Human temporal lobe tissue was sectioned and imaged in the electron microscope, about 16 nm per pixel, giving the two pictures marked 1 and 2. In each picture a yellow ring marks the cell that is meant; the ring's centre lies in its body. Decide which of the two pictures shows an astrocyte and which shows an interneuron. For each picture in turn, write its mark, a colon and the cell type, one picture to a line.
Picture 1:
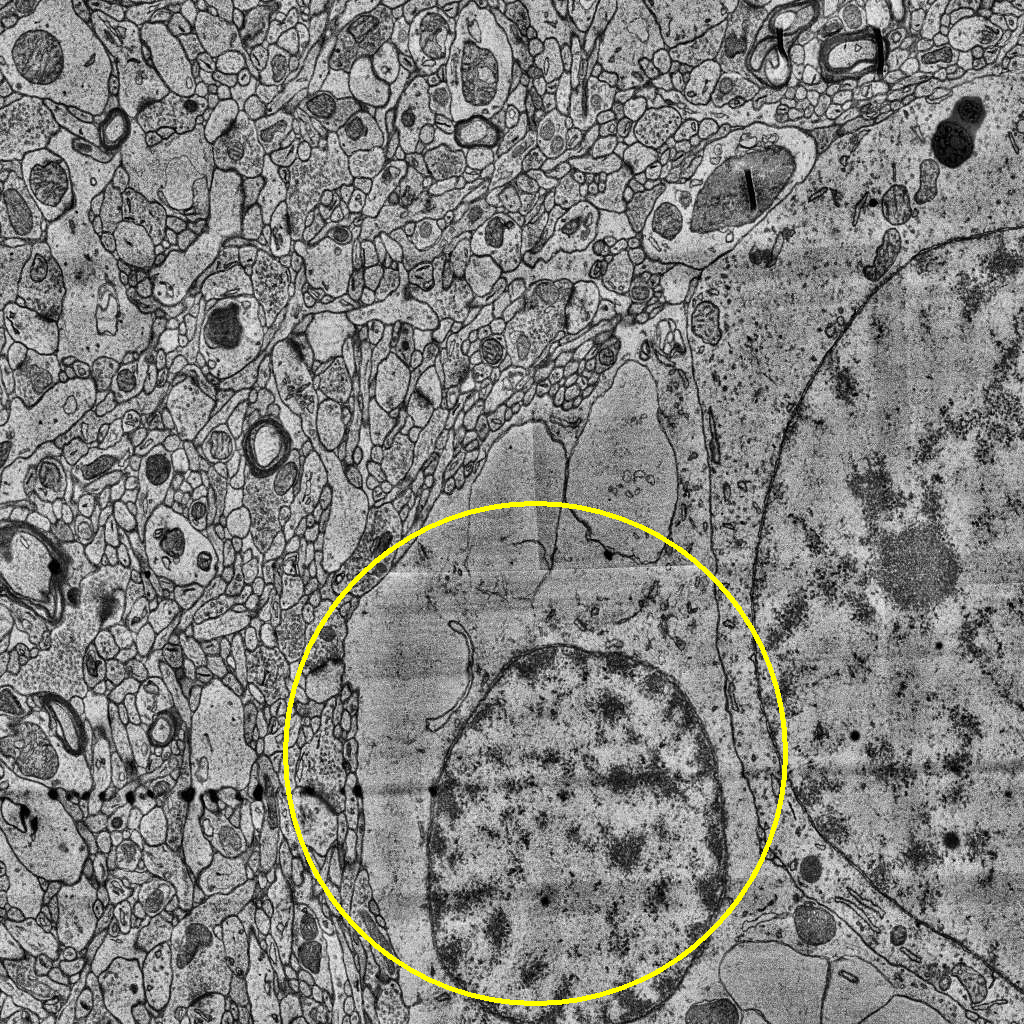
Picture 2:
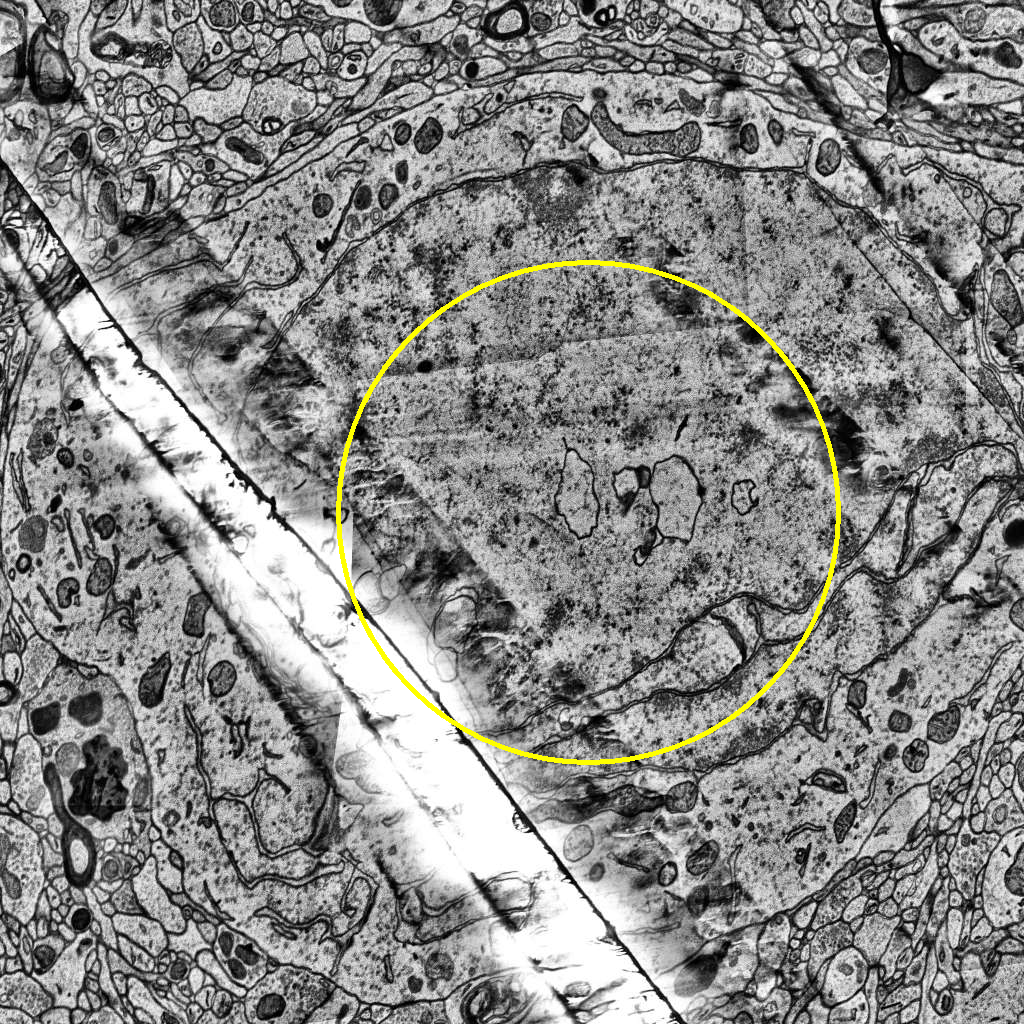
1: astrocyte
2: interneuron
